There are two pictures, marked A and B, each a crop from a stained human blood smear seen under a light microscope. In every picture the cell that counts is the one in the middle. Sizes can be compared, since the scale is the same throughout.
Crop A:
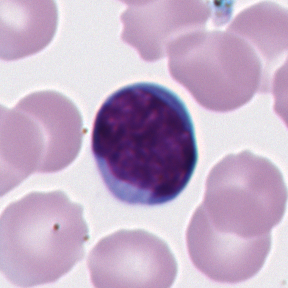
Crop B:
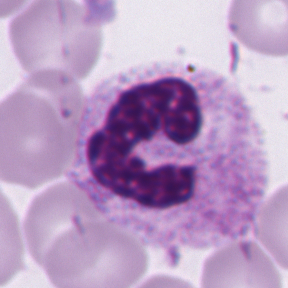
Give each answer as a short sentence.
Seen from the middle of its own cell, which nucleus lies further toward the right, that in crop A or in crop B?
In crop A the nucleus is shifted more toward the right.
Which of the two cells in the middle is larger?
Larger is the cell in crop B, at roughly 2.5 times the area of the other.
